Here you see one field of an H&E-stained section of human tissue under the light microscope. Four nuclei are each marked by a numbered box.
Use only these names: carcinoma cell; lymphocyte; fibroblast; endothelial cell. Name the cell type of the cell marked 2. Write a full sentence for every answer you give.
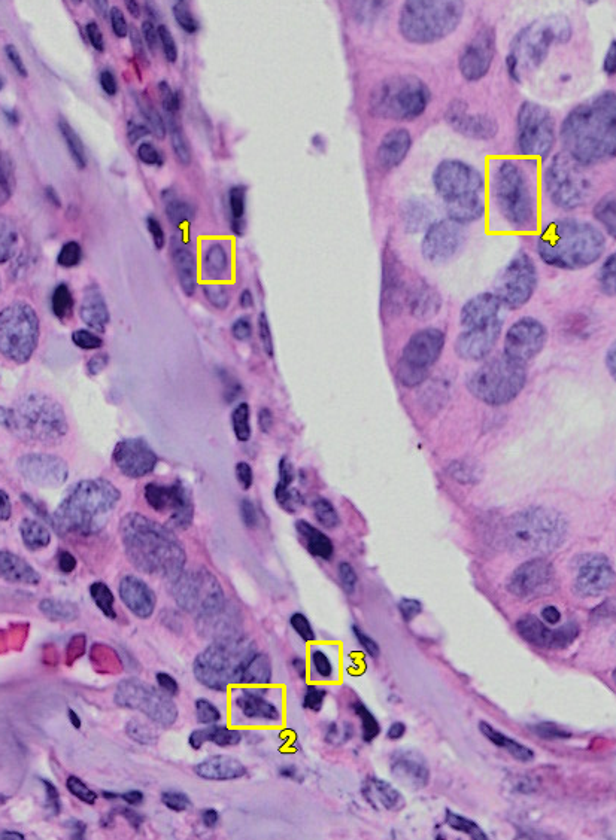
Here the cell numbered 2 is a lymphocyte.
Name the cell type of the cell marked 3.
It is as a lymphocyte that the cell numbered 3 is identified.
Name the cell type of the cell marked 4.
The cell with the number 4 is a carcinoma cell.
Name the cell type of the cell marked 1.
In this section, the cell numbered 1 is an endothelial cell.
